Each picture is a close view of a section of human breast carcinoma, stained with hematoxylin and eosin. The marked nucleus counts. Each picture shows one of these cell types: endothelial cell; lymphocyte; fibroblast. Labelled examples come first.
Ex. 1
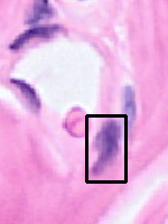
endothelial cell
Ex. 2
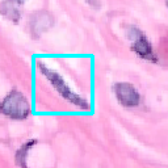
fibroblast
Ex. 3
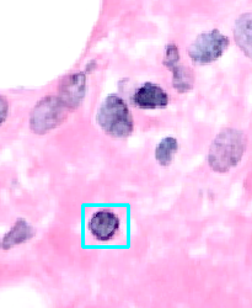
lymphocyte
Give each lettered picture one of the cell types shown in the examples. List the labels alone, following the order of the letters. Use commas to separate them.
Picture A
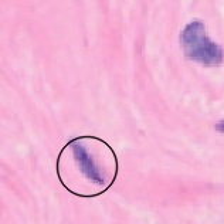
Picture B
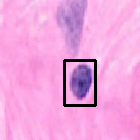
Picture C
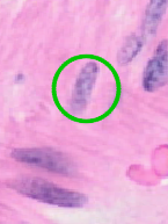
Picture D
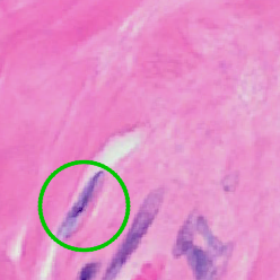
fibroblast, lymphocyte, endothelial cell, fibroblast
